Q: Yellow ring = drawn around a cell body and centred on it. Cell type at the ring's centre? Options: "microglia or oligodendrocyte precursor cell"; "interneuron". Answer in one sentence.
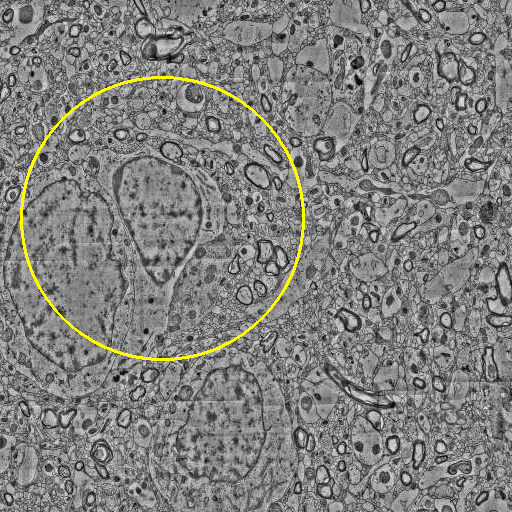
Centred in the ring is a microglial cell or oligodendrocyte precursor cell.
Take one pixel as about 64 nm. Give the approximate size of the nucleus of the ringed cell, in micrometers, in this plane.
The ringed cell's nucleus measures approximately 7 by 5 micrometres in this plane.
